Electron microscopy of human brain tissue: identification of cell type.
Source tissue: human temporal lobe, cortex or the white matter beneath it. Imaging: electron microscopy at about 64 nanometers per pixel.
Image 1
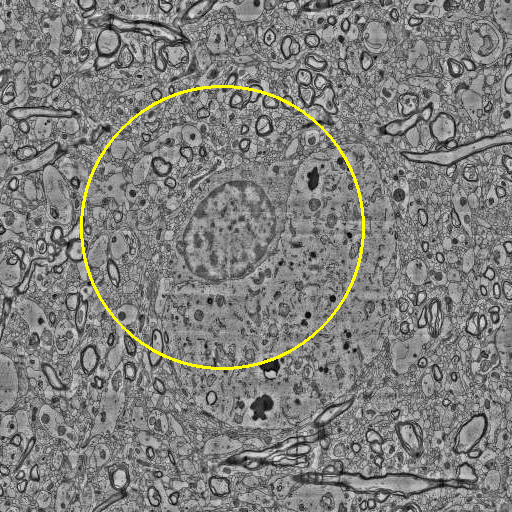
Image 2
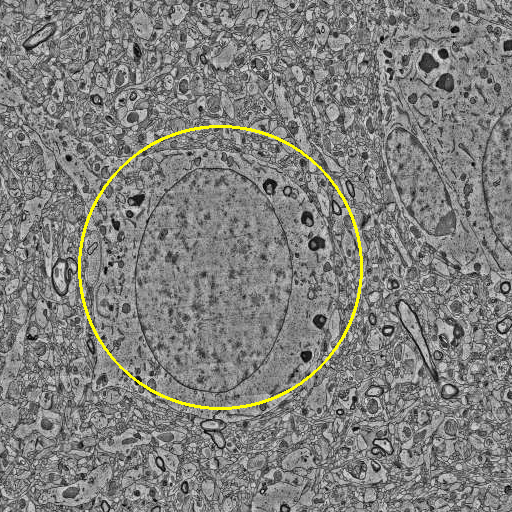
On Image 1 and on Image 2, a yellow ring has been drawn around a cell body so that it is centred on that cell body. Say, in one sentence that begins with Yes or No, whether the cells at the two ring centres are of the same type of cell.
No, the two cells are two separate types of cell.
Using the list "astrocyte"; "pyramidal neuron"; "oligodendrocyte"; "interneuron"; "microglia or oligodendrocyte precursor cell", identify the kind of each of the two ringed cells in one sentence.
The first is an oligodendrocyte and the second is a pyramidal neuron.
